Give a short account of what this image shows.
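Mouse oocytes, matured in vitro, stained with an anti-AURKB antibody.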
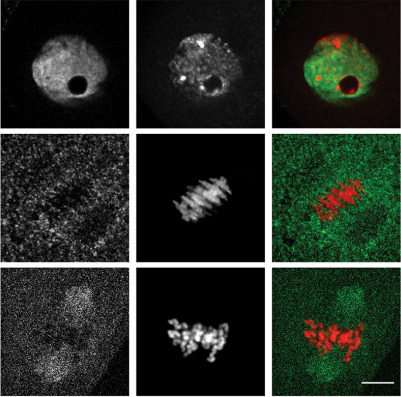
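In the top row a large round nucleus is filled with diffuse green, and a dark round hole marks the nucleolus. In the middle row the chromosomes are condensed and lined up in a band, with fainter green in the area around them than in the surrounding cytoplasm. In the bottom row a cluster of condensed chromosomes lies between two brighter, diffuse green patches on either side.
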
